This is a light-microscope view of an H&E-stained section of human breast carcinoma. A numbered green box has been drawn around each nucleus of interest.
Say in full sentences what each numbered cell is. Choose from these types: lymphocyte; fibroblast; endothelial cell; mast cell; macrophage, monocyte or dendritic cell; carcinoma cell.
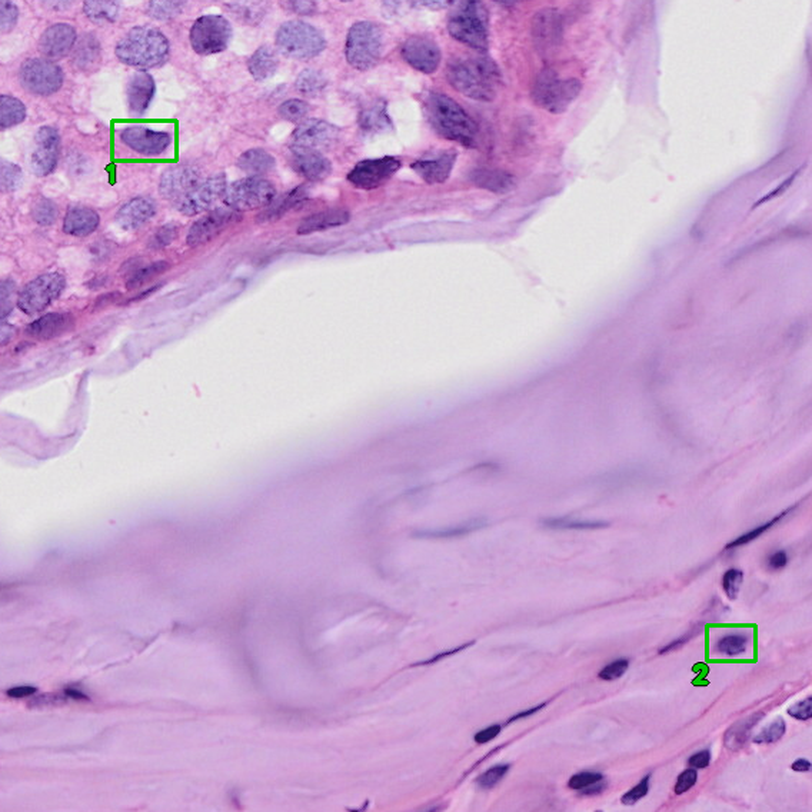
Cell 1 is a carcinoma cell and cell 2 is a lymphocyte.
